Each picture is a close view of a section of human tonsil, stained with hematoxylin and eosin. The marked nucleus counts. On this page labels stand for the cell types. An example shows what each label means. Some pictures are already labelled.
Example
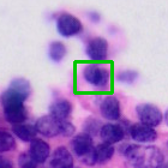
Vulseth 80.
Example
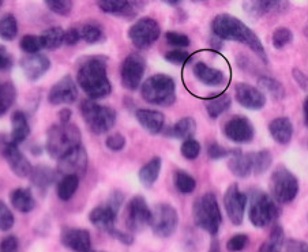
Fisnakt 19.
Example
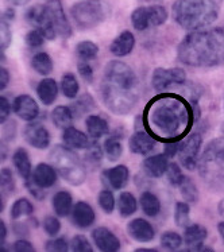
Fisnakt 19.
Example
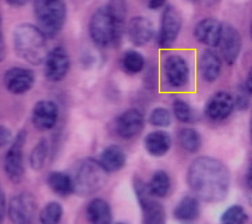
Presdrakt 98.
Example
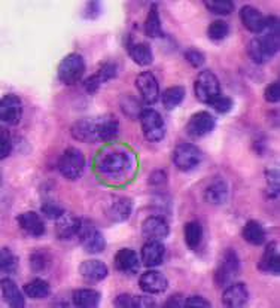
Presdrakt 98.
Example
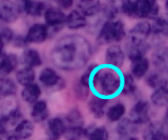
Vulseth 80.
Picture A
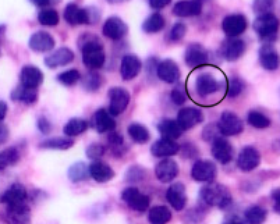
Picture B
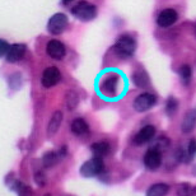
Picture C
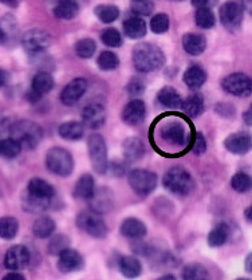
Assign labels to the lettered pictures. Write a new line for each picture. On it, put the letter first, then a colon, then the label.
A: Vulseth 80.
B: Presdrakt 98.
C: Presdrakt 98.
